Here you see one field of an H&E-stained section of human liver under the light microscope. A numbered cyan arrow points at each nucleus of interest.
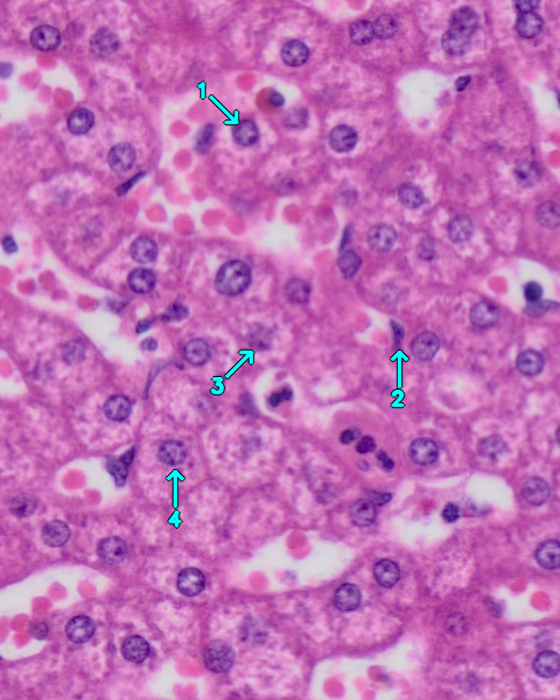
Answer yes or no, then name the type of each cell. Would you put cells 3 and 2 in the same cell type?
No, not so; cell 3 is a hepatocyte and cell 2 is an endothelial cell.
